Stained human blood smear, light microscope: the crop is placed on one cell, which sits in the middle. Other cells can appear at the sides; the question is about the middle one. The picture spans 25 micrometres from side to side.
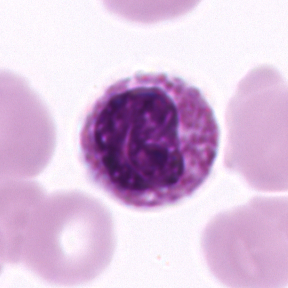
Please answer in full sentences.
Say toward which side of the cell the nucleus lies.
Seen from the middle of the cell, the nucleus lies toward the left.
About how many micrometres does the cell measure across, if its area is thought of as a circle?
The diameter of the cell comes to about 12 micrometres.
